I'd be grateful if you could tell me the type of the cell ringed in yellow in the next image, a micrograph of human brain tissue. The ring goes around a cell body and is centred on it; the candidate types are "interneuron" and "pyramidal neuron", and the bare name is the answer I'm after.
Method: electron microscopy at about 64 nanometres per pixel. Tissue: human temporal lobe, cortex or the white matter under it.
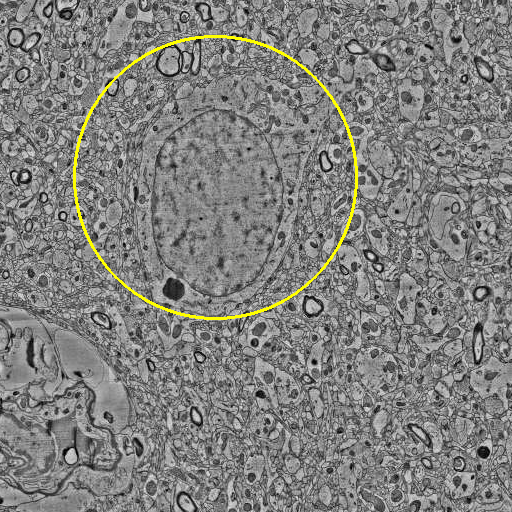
interneuron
